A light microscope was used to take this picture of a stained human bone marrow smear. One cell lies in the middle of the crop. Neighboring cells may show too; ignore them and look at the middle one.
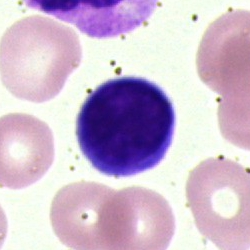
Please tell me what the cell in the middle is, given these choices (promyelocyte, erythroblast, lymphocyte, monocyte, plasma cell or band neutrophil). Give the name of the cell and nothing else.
lymphocyte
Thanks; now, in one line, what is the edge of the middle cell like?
Happy to help: the outline is smooth and shows no projections.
